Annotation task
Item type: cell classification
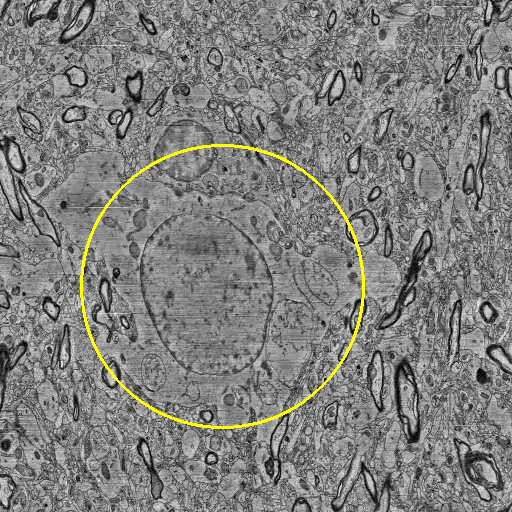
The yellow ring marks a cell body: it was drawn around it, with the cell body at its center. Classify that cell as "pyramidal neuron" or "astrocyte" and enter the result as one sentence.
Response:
The ring's center falls on an astrocyte.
